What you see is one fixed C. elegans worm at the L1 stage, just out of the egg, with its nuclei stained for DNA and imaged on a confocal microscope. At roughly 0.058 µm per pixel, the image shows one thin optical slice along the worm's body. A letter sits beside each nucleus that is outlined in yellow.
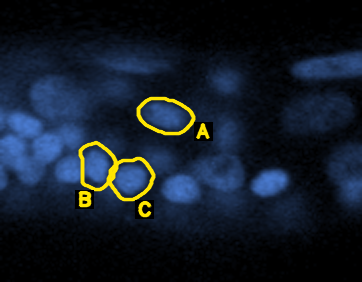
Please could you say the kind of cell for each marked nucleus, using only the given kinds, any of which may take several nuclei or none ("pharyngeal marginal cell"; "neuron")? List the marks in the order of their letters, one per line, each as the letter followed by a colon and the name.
A: pharyngeal marginal cell
B: neuron
C: neuron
